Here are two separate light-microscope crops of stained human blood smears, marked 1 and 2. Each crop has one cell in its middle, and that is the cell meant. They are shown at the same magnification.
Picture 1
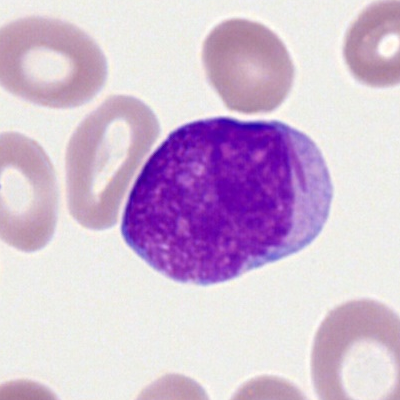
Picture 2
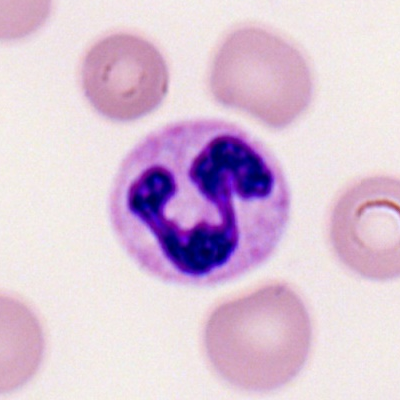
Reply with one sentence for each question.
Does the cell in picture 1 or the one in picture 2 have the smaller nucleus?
The nucleus in picture 2 is smaller; the one in picture 1 has about 2 times its area.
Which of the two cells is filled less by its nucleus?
Of the two, the nucleus in picture 2 leaves more room for cytoplasm.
